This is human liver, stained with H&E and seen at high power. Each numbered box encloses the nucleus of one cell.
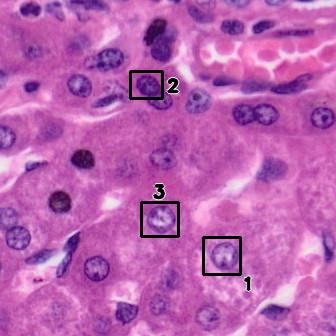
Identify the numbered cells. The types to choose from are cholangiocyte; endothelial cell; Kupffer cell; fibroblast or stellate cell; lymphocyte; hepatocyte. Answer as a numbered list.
1. hepatocyte
2. cholangiocyte
3. hepatocyte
